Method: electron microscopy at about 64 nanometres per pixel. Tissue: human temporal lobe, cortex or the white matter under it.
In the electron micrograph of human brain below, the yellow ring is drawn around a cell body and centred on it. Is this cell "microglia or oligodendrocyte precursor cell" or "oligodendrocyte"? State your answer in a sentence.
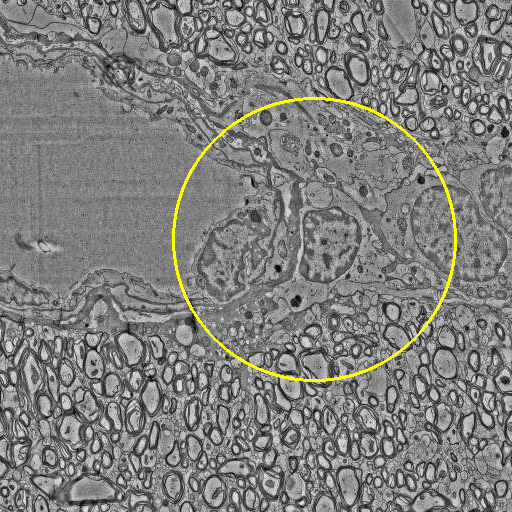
The cell in the middle of the ring is a microglial cell or oligodendrocyte precursor cell.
